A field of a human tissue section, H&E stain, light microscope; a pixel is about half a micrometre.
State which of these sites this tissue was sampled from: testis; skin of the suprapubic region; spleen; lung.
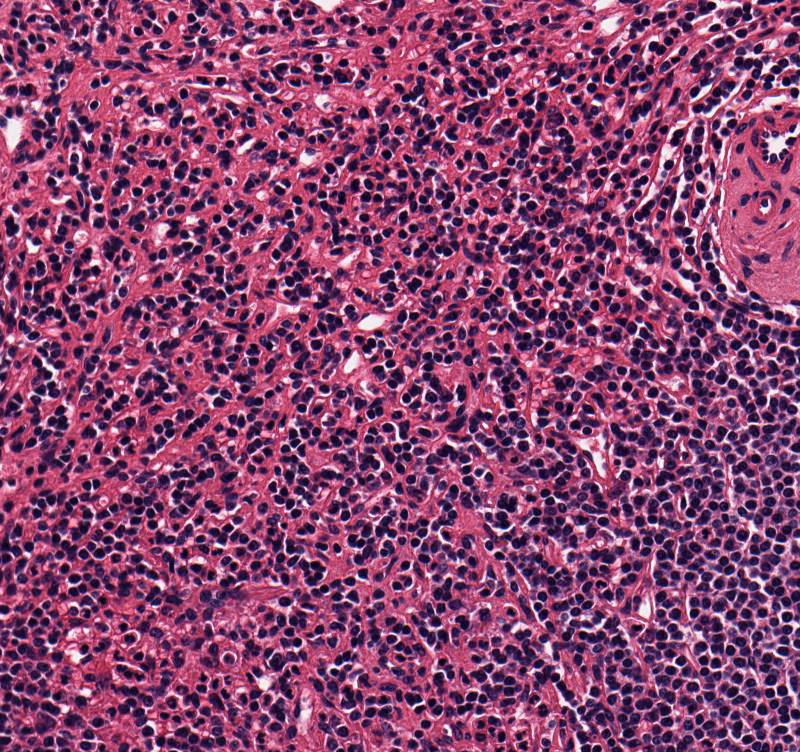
spleen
